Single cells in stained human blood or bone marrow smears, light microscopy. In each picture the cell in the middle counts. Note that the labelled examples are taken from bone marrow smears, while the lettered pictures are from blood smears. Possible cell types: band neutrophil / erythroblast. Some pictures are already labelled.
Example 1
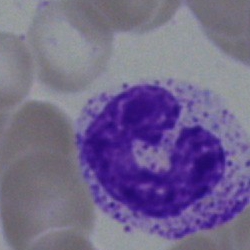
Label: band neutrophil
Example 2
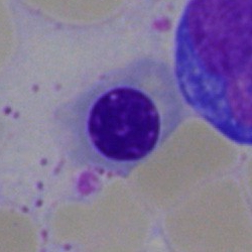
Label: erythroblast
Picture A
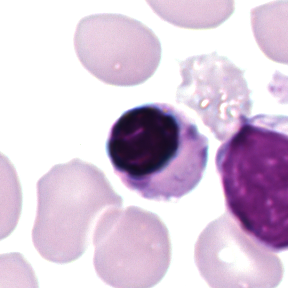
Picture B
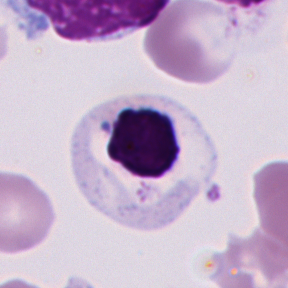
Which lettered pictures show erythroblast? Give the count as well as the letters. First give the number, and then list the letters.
2: A, B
